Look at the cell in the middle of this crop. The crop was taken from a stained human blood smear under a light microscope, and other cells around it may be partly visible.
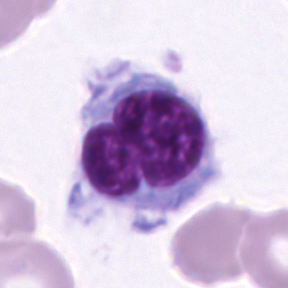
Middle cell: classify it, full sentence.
The cell in the exact centre of the crop is a plasma cell.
